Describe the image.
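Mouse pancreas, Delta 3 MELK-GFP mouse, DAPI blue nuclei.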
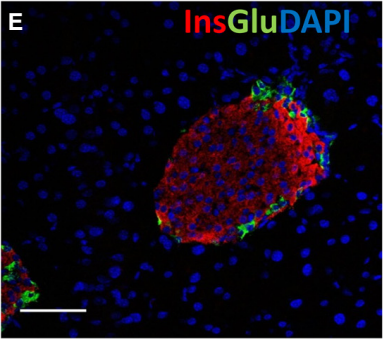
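Pancreatic islet within exocrine tissue. A second small cluster with green cells is partly visible at the lower left edge.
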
